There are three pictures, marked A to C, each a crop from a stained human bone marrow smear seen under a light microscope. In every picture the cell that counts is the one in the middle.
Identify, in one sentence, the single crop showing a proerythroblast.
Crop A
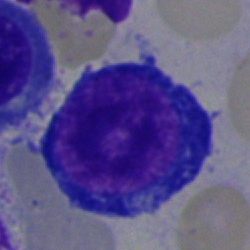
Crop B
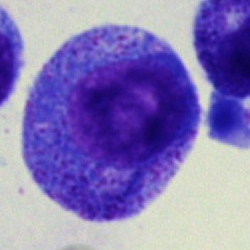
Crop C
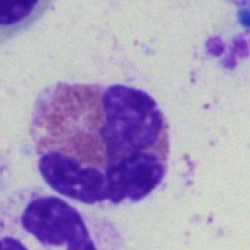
The crop marked A is the one in which a proerythroblast is shown.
